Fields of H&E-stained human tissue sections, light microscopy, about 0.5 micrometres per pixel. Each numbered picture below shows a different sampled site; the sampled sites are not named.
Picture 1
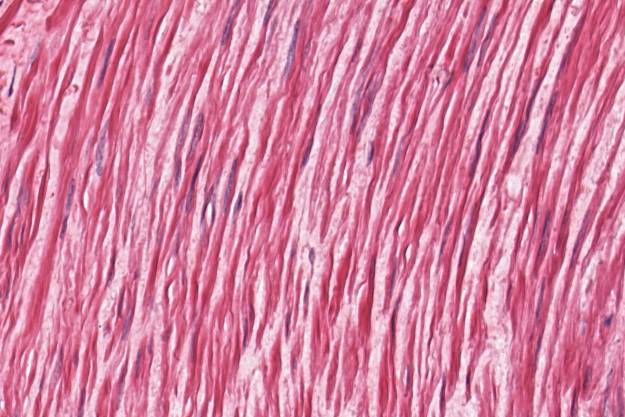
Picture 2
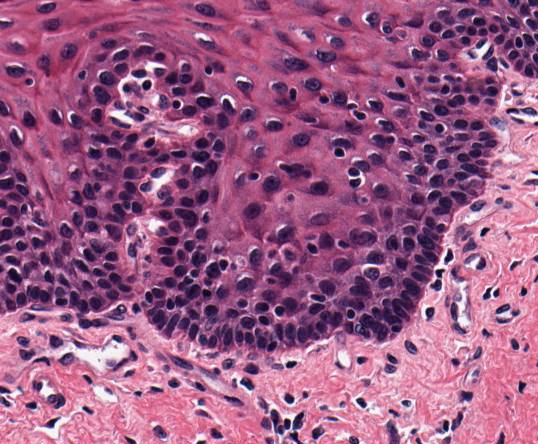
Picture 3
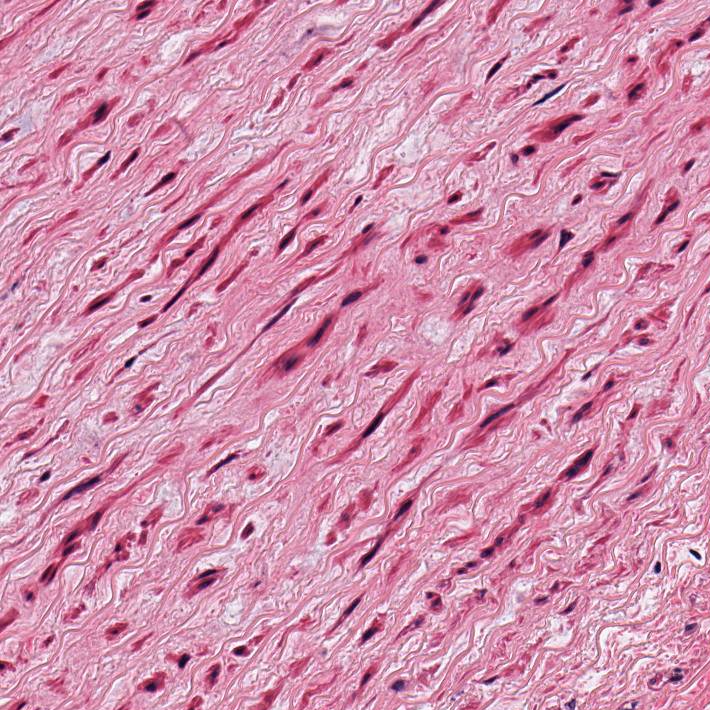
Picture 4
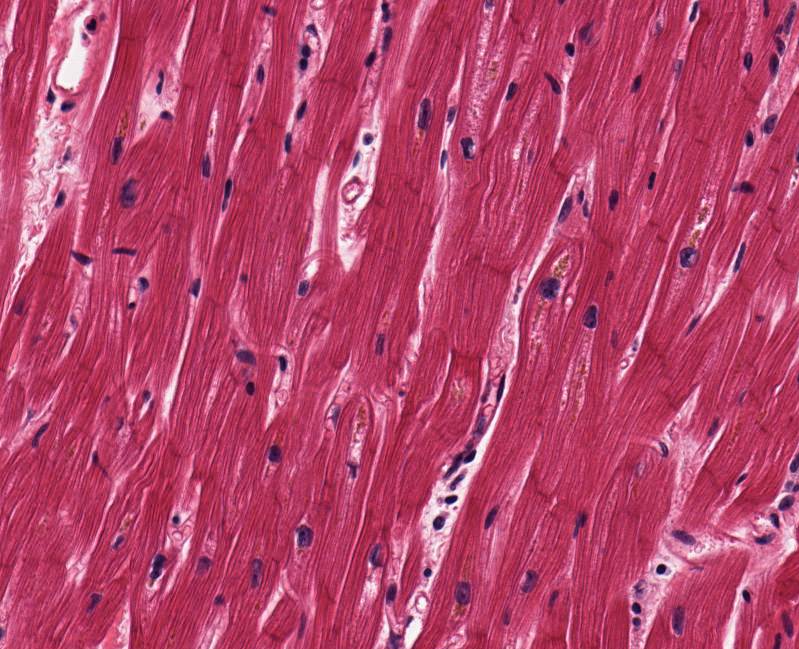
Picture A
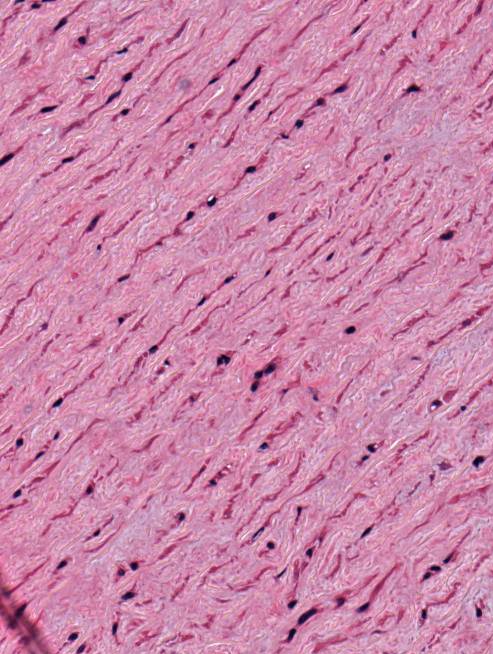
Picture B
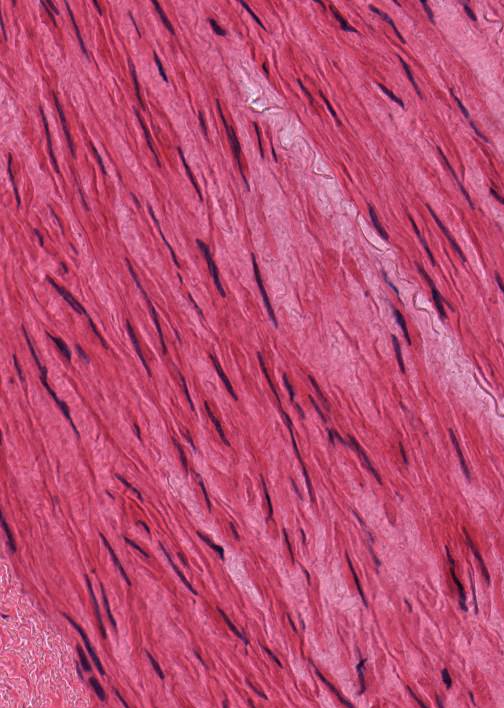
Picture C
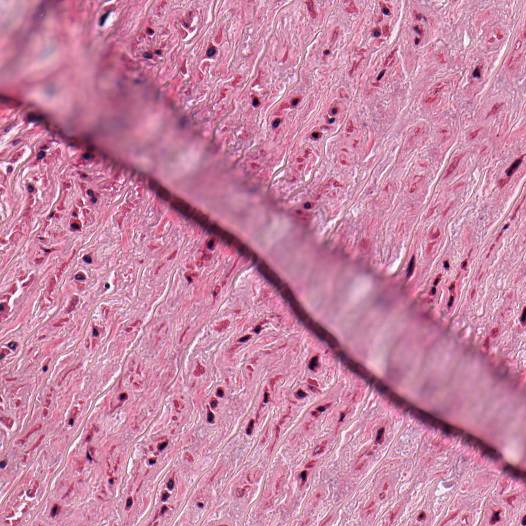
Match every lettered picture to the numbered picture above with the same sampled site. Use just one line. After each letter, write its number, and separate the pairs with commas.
A 3, B 1, C 3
